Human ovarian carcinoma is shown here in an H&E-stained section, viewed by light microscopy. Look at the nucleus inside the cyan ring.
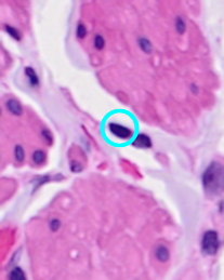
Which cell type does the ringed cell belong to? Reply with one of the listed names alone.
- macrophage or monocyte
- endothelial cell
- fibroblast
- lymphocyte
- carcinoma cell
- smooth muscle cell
lymphocyte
